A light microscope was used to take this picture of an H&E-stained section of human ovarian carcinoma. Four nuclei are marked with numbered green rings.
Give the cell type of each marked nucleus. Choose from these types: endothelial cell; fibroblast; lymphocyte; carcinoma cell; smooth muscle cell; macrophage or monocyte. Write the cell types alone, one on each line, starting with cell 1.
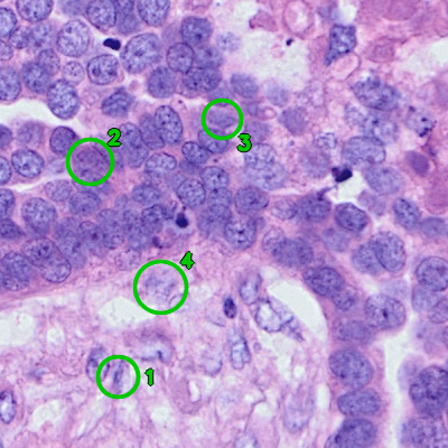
fibroblast
carcinoma cell
carcinoma cell
fibroblast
